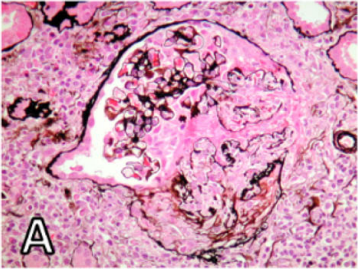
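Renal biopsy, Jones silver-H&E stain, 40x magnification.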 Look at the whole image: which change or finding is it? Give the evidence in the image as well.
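Segmental necrosis. Part of the glomerular tuft is replaced by pink, smudgy material without intact capillary loops. The black silver-stained capsule line is interrupted at one side.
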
